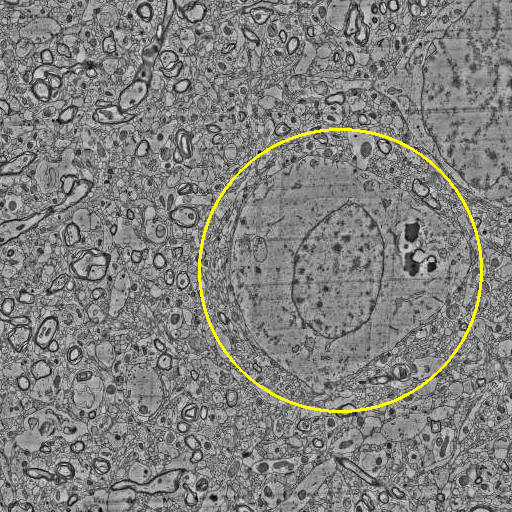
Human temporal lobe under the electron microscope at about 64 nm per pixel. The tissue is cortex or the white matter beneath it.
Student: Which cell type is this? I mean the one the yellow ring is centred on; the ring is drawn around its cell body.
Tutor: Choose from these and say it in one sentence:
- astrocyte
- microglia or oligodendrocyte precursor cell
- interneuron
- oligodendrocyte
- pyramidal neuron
The cell the ring is centred on is a pyramidal neuron.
